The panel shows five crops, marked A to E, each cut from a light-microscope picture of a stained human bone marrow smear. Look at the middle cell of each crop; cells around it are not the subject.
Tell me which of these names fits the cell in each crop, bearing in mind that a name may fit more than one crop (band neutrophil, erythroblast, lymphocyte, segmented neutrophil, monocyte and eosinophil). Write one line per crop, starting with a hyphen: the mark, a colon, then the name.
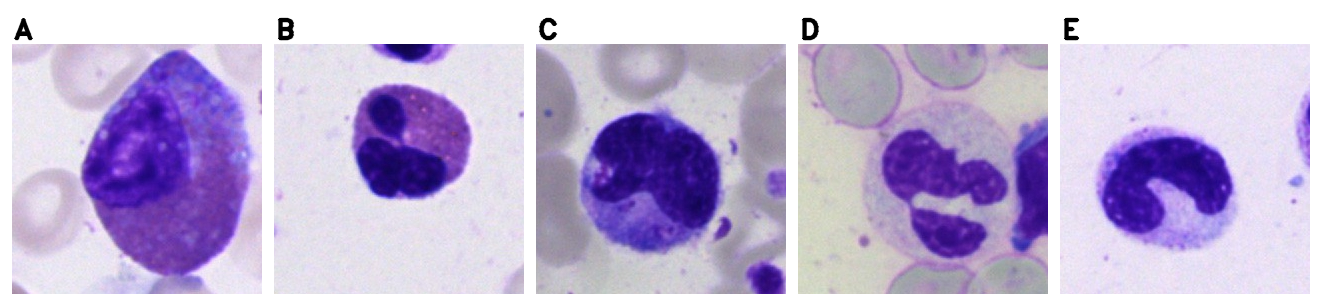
- A: eosinophil
- B: eosinophil
- C: monocyte
- D: segmented neutrophil
- E: band neutrophil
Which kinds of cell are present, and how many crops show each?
eosinophil: 2
monocyte: 1
segmented neutrophil: 1
band neutrophil: 1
